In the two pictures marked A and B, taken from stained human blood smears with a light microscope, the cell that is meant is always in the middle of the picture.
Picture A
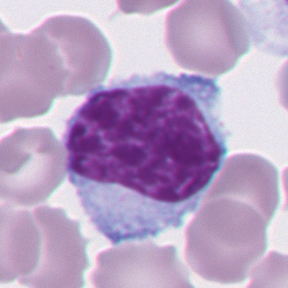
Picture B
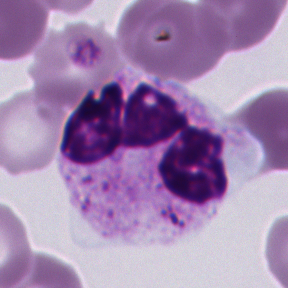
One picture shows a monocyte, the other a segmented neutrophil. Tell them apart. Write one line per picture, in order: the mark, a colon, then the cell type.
A: monocyte
B: segmented neutrophil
